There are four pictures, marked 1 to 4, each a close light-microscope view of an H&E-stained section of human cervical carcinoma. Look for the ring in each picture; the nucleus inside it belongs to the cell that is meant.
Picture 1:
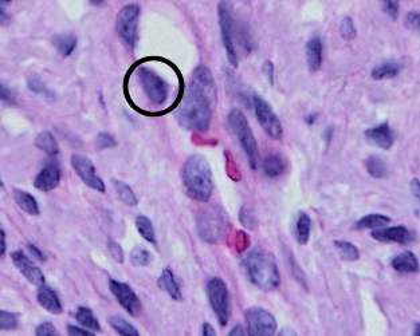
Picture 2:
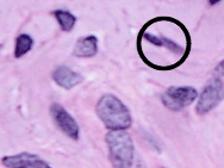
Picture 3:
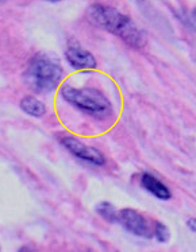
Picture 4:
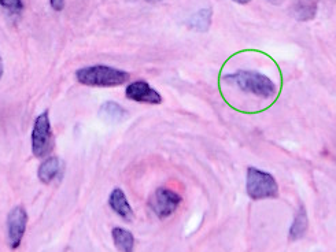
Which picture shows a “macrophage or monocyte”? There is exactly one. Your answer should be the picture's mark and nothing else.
3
